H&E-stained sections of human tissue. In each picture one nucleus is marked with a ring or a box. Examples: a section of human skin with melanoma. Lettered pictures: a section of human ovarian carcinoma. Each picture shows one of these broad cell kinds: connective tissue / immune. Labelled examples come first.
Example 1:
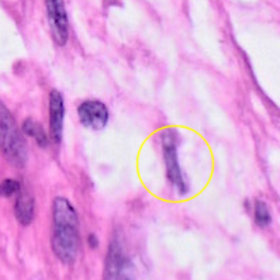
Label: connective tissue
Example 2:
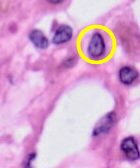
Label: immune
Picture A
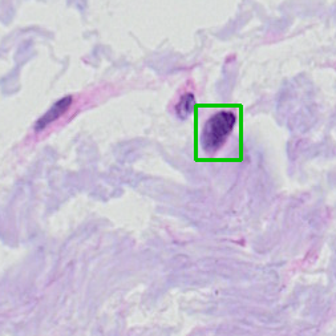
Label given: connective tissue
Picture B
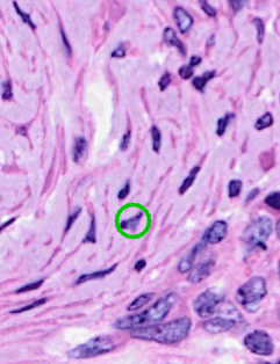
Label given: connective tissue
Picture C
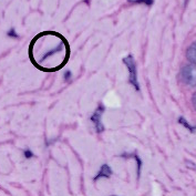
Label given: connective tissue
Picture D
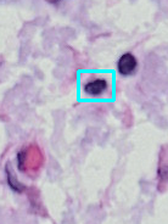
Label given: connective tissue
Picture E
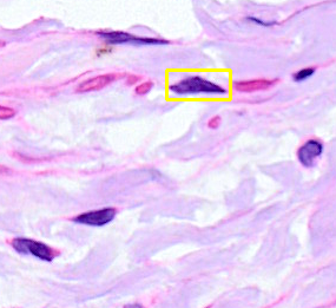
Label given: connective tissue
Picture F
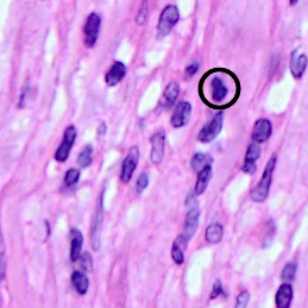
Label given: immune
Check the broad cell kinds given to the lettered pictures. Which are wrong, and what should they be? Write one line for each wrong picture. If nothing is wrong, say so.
D: not connective tissue but immune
